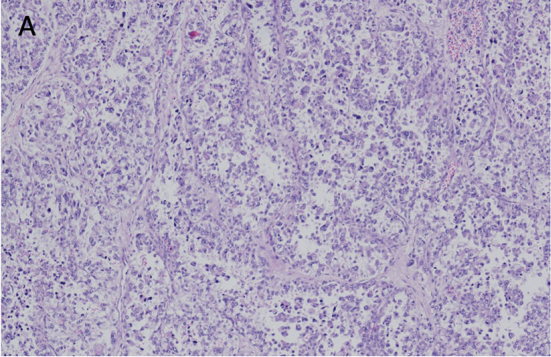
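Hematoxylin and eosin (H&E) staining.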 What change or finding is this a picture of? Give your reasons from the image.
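Only thin pink fibrous strands run between them.
Conclusion: diffuse pattern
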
